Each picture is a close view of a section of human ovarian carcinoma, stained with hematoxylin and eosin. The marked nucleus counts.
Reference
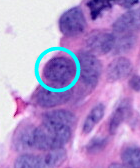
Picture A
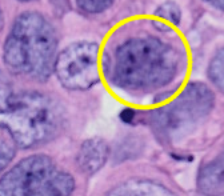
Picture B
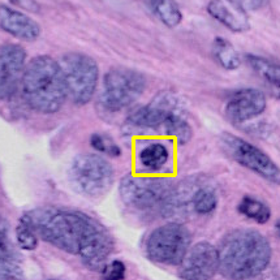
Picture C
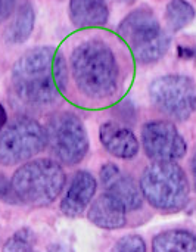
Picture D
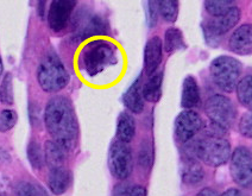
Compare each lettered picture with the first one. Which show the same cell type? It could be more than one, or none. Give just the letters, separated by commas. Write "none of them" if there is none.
A, C, D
